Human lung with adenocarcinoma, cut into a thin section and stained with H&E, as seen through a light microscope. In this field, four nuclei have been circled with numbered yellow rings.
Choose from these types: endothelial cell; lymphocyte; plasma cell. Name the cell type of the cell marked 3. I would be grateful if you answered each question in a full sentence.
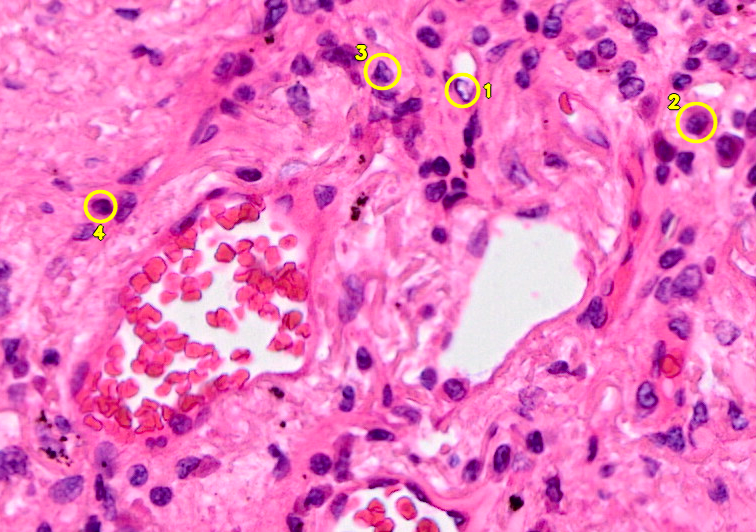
In this section, the cell numbered 3 is a lymphocyte.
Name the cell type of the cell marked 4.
The correct answer for cell 4 is a plasma cell.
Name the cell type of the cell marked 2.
The correct answer for cell 2 is a plasma cell.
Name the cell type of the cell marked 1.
The cell that carries the label 1 is an endothelial cell.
